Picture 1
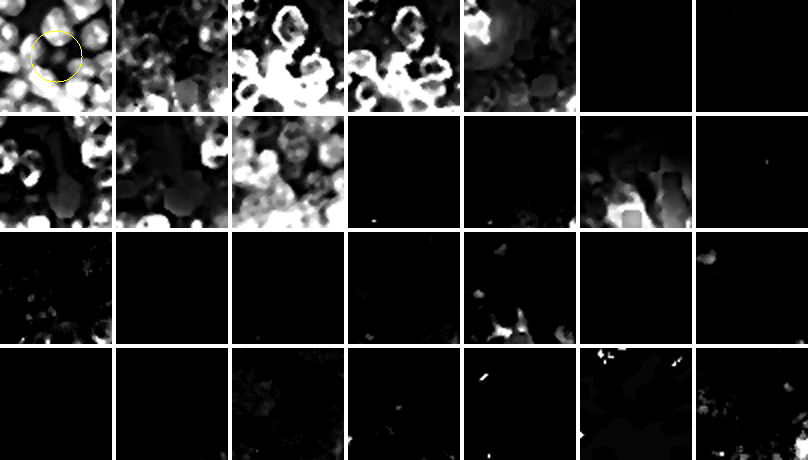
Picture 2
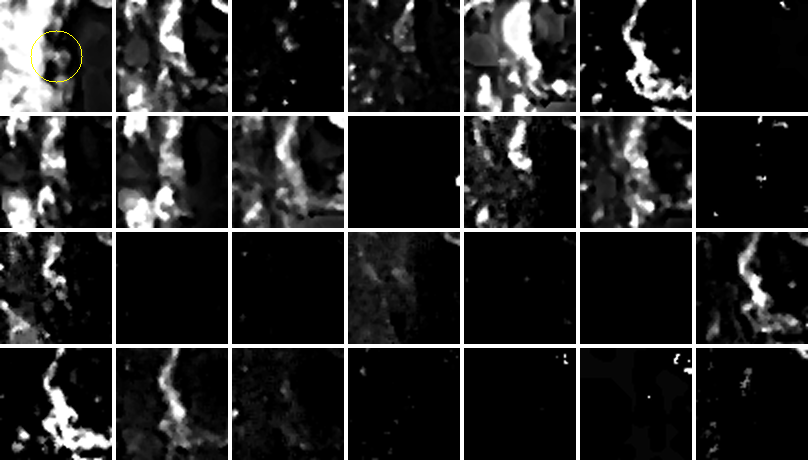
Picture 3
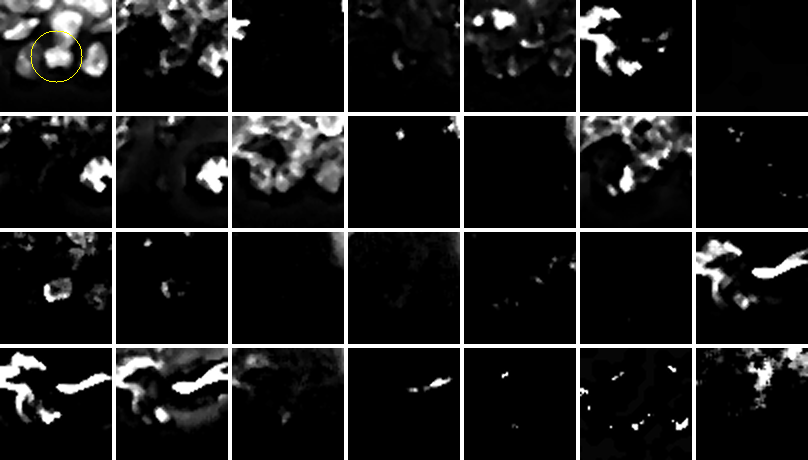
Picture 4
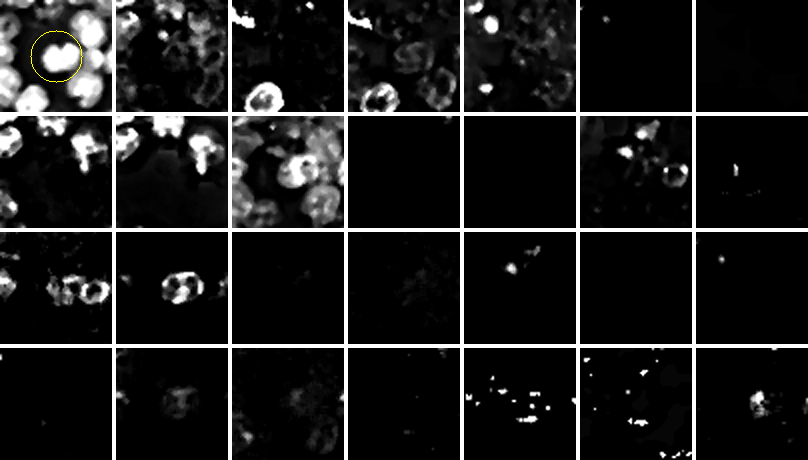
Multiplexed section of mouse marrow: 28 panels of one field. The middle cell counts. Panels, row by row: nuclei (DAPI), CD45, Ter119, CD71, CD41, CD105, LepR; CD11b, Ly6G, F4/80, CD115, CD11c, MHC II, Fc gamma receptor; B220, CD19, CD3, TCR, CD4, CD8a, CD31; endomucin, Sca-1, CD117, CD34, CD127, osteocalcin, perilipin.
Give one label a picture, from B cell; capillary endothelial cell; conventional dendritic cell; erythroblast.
Picture 1: erythroblast
Picture 2: conventional dendritic cell
Picture 3: capillary endothelial cell
Picture 4: B cell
